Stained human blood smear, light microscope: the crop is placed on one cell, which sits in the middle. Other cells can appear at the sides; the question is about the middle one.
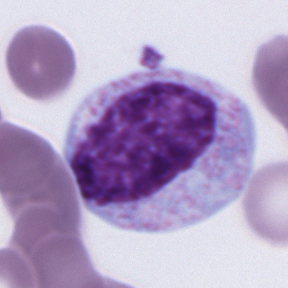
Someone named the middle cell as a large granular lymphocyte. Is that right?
no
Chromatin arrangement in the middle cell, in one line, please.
Heads up, the chromatin in this one is coarsely clumped.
